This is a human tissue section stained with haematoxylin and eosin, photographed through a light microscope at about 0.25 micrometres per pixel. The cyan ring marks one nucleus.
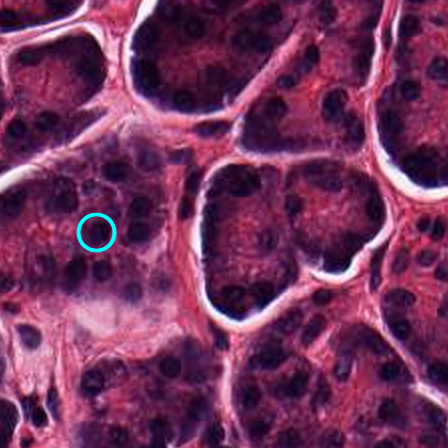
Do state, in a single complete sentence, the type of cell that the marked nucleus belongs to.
The cell that the marked nucleus belongs to is a pancreatic acinar cell.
